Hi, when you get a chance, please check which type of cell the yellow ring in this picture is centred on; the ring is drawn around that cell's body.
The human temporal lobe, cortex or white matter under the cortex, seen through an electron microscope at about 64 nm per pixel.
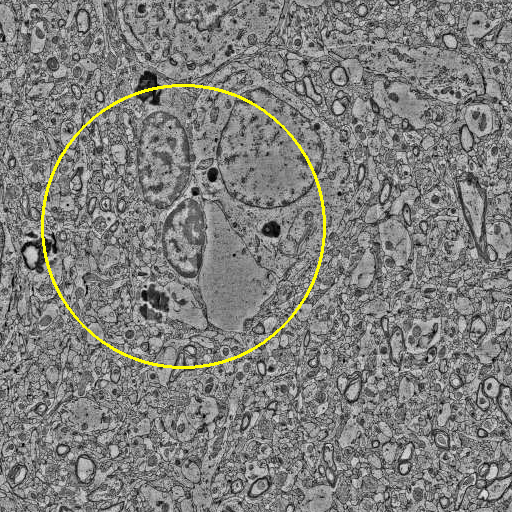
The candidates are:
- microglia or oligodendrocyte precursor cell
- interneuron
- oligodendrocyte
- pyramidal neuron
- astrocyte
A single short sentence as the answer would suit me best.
The ring is drawn around the body of a microglial cell or oligodendrocyte precursor cell.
